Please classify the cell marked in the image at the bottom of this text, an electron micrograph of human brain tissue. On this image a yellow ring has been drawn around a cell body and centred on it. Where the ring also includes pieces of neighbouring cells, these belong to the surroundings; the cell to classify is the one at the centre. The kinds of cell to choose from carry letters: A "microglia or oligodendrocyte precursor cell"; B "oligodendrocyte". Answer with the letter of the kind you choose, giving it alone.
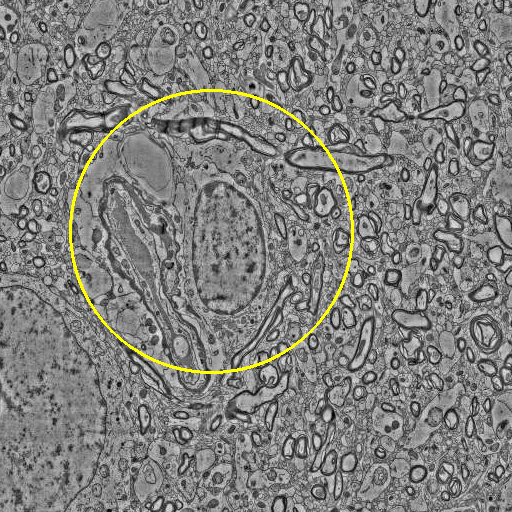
A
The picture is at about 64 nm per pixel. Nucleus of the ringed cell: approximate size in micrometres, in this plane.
Roughly 8 by 5 micrometers, clearly longer than it is wide in this plane.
